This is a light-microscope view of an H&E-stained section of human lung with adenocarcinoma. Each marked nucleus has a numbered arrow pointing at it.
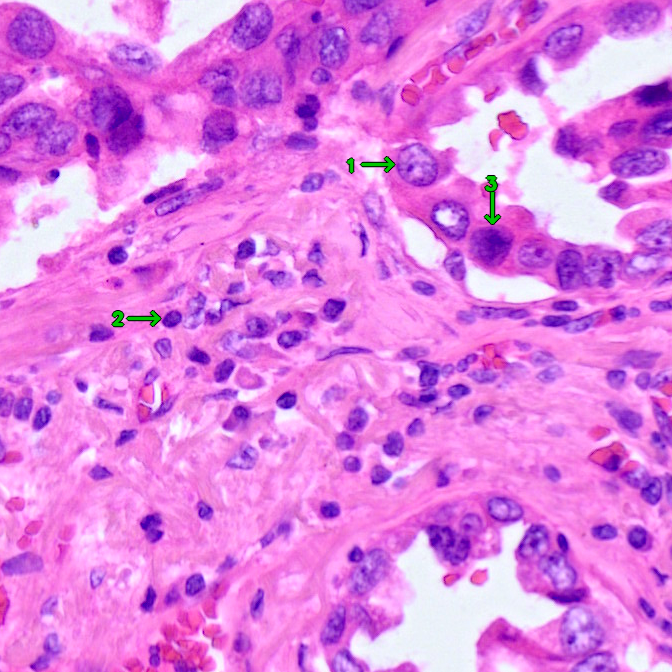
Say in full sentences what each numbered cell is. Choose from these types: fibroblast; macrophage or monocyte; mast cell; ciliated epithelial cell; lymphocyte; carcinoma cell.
Cells 1 and 3 are carcinoma cells. Cell 2 is a lymphocyte.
